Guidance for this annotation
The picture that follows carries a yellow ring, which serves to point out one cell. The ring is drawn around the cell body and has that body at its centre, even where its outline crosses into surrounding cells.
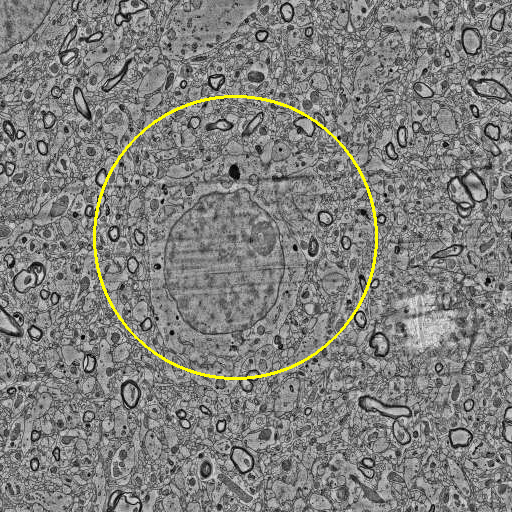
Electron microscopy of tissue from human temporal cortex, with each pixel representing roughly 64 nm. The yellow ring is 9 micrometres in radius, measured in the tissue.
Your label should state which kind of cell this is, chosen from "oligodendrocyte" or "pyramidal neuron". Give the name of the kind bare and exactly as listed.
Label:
pyramidal neuron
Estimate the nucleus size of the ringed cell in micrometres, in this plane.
The ringed cell's nucleus measures approximately 9 by 8 micrometres in this plane.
